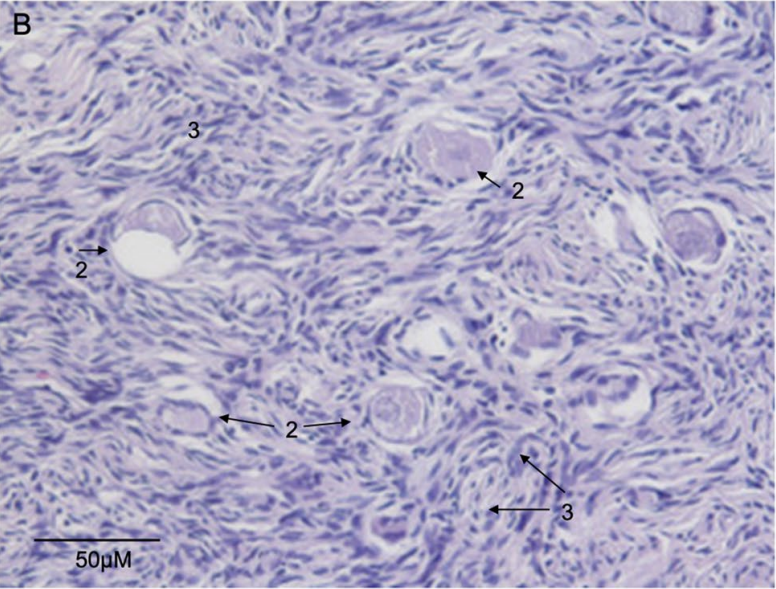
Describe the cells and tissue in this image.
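This is ovarian stroma containing several follicles that look degenerate. The oocytes are shrunken, pale and pulled away from their surroundings, leaving empty clear spaces beside or around them, and no tidy ring of surrounding cells is seen. The stroma between them consists of densely packed spindle-shaped cells with elongated purple nuclei running in wavy bundles.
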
